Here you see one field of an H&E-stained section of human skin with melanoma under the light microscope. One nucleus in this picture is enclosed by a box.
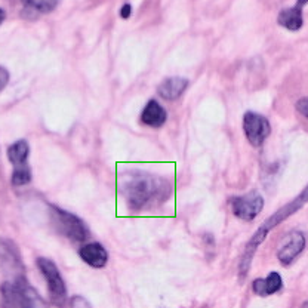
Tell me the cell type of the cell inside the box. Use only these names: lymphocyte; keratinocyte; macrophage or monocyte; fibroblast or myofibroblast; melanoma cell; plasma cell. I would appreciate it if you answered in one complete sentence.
Considered by cell type, the cell inside the box is a fibroblast or myofibroblast.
